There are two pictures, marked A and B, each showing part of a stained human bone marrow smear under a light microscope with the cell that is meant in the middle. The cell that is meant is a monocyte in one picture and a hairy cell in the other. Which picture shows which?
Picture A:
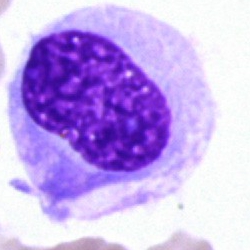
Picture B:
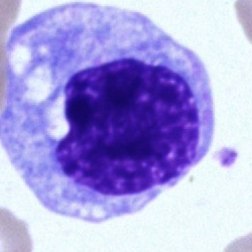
A: hairy cell
B: monocyte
